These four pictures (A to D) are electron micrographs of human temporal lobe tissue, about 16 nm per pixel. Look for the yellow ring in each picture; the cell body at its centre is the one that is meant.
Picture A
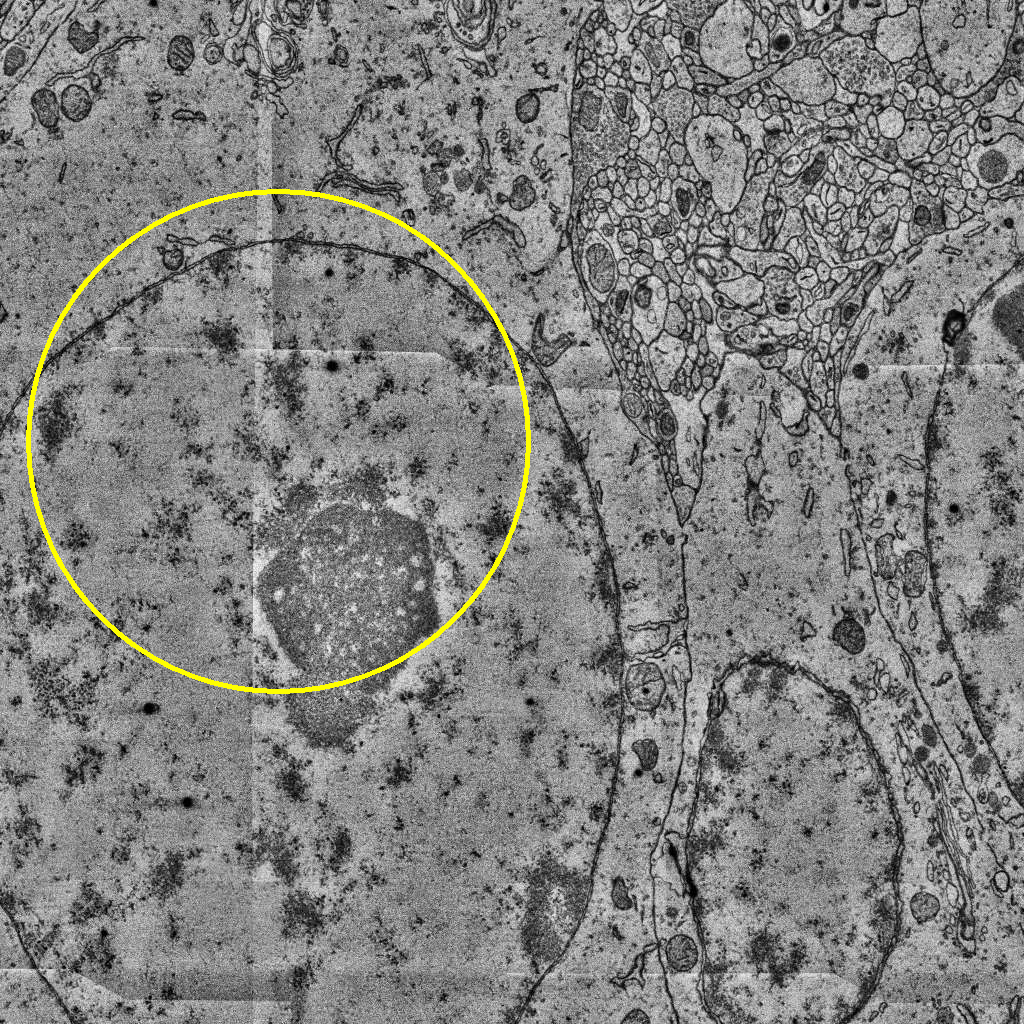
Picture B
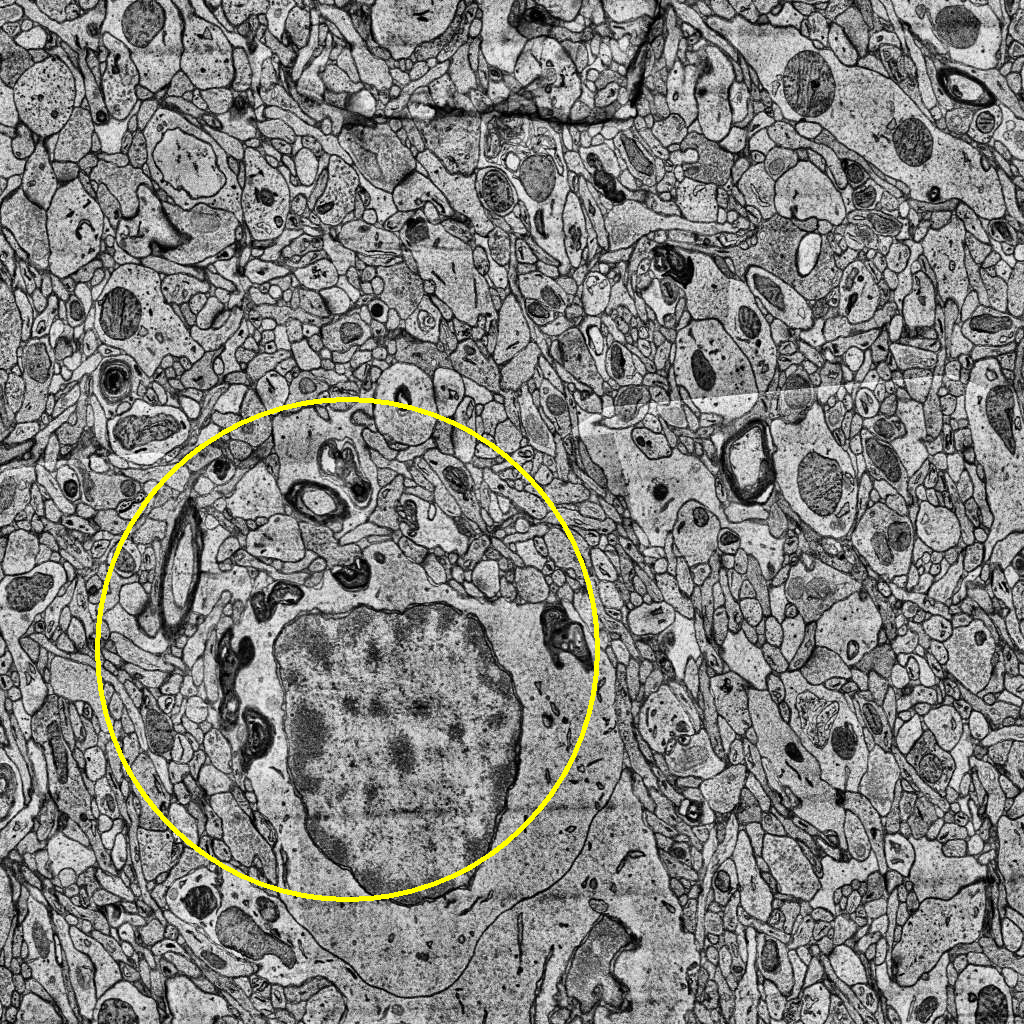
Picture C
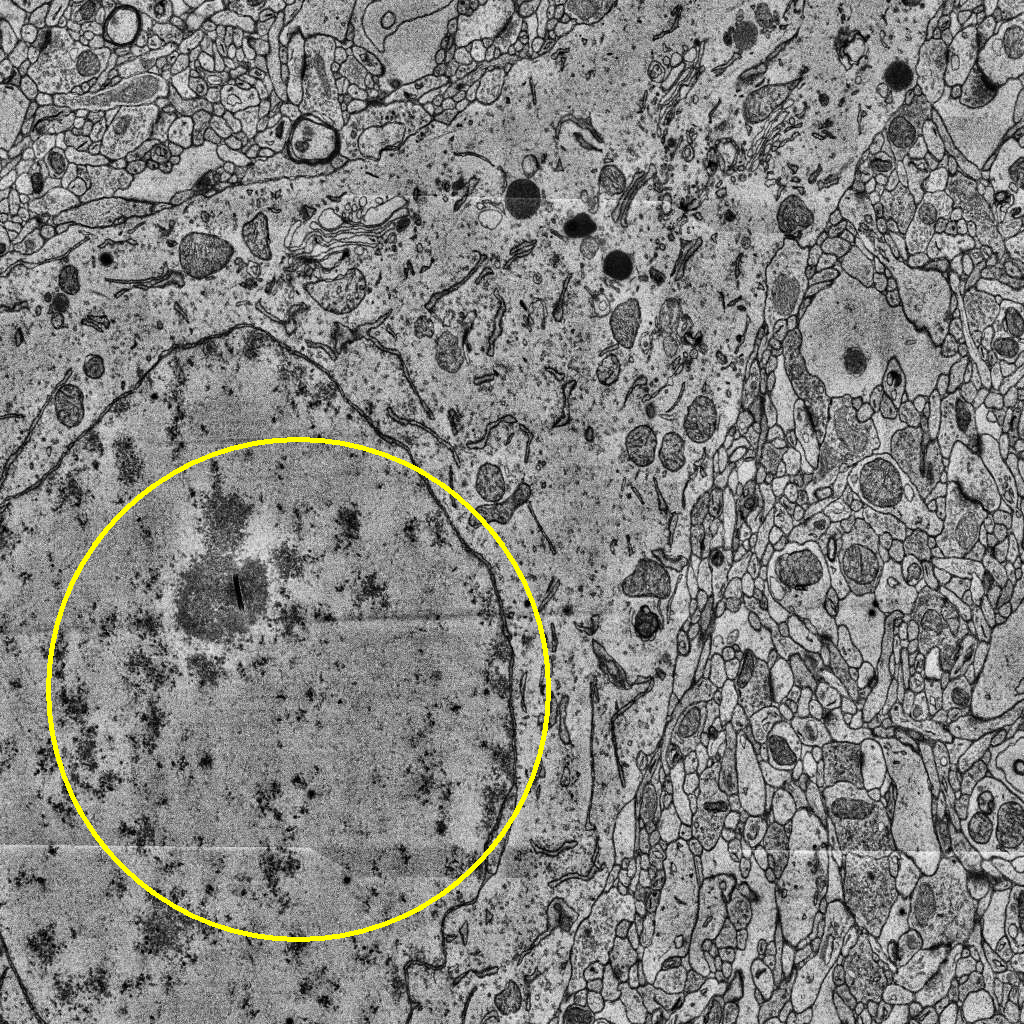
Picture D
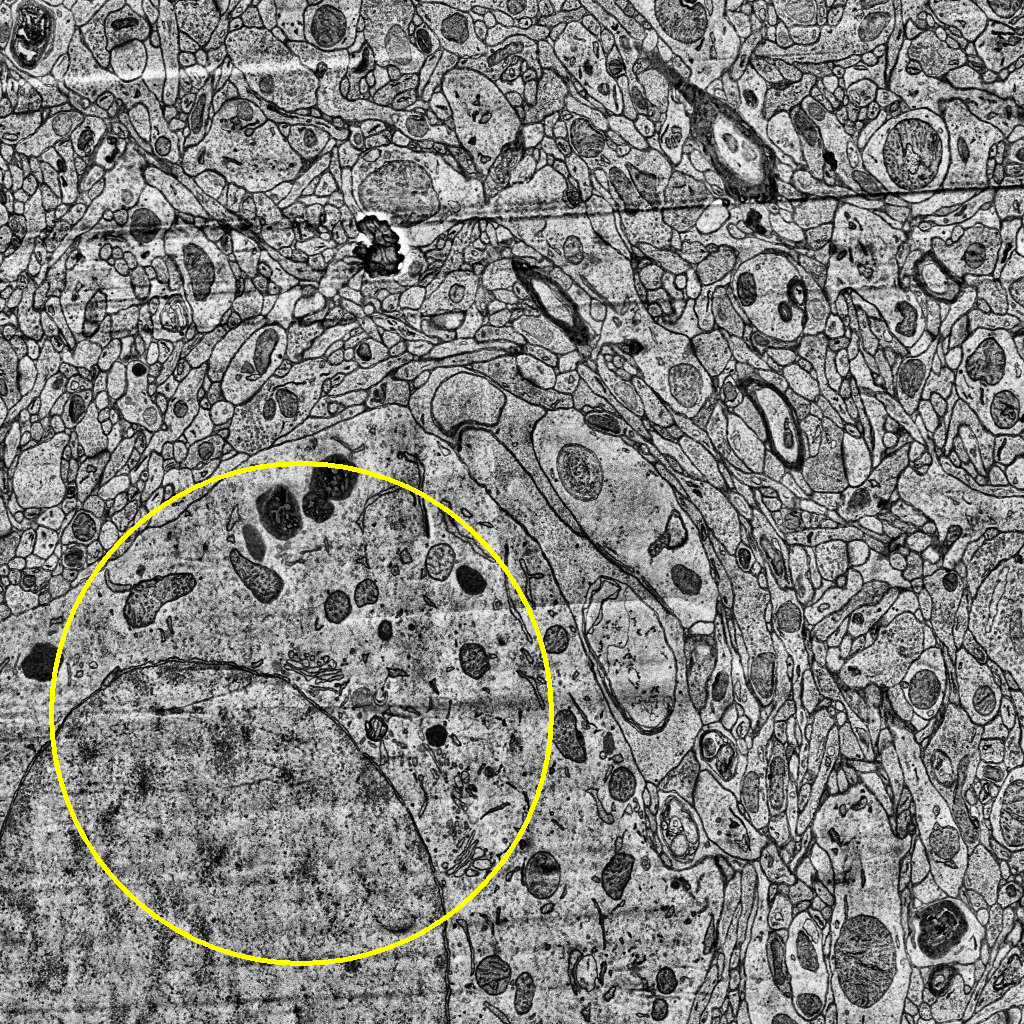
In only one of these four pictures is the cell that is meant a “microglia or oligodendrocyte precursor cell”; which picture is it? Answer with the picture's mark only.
B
